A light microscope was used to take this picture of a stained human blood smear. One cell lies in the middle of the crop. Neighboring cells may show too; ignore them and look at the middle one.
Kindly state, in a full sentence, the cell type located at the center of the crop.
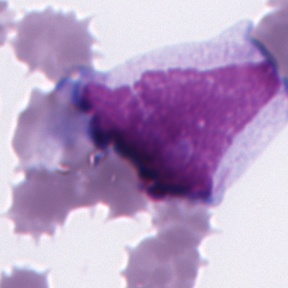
The cell nearest the centre of this crop is a myeloblast.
